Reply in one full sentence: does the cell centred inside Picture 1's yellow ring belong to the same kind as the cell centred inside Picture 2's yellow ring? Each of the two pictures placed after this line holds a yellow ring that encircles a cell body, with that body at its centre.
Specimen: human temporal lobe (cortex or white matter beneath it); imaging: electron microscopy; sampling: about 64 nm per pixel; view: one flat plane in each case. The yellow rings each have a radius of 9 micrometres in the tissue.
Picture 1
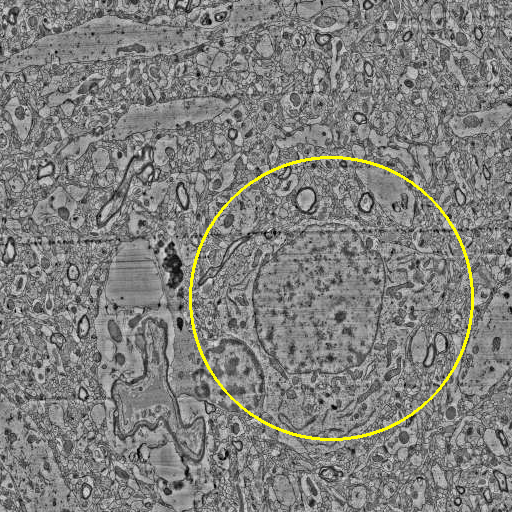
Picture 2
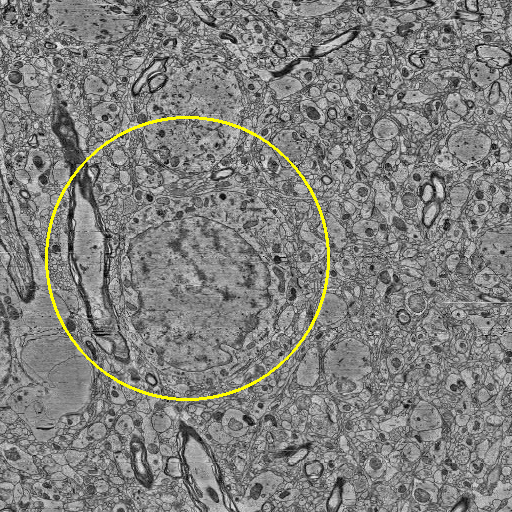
Yes, the ring-centred cells in Picture 1 and Picture 2 are of one and the same kind.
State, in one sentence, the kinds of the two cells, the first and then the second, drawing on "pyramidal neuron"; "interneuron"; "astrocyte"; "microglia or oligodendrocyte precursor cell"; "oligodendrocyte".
In the first picture and in the second, the ring is centred on an interneuron.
